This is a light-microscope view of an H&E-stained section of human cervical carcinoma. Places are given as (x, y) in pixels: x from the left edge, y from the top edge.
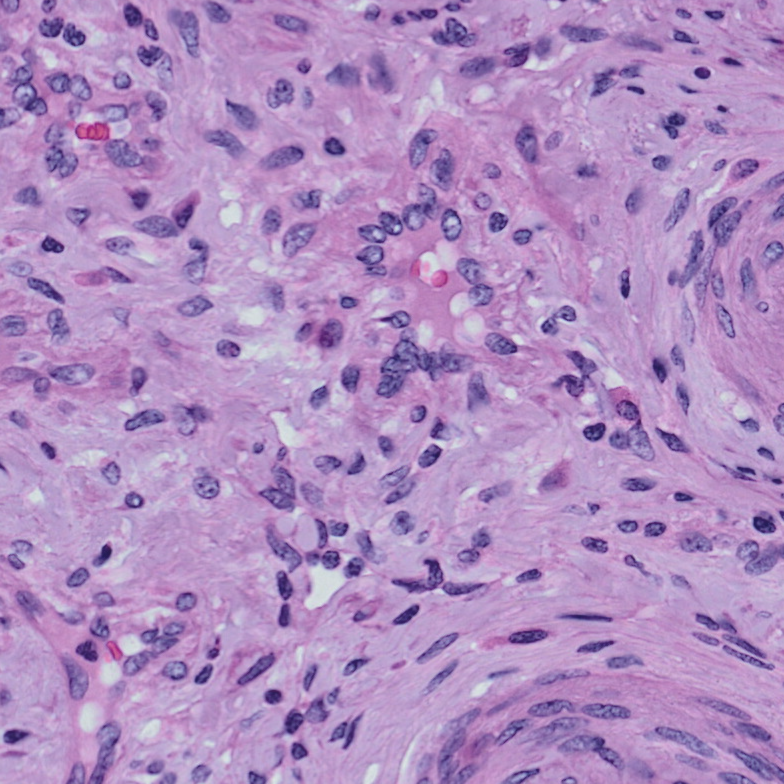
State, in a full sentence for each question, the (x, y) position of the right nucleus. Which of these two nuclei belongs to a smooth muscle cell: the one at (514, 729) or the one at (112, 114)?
The nucleus that belongs to a smooth muscle cell sits at (514, 729).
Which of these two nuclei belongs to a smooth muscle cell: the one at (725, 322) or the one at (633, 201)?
The cell to which the nucleus at (725, 322) belongs is a smooth muscle cell.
